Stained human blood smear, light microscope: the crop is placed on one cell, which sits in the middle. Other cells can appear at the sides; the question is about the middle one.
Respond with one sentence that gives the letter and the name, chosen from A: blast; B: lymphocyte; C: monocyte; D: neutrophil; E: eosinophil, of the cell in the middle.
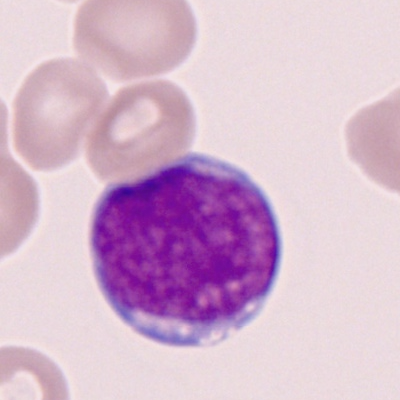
The right choice is option A: the cell in the middle is a blast.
